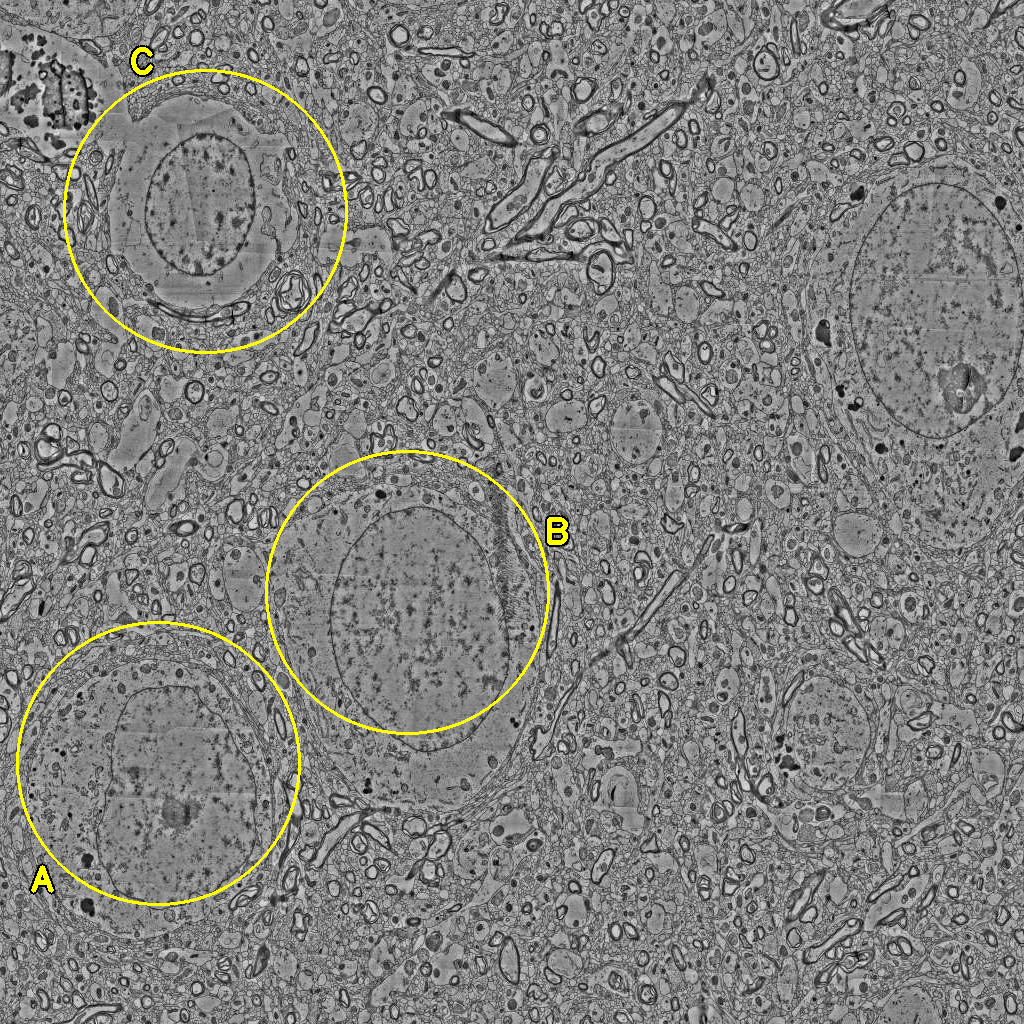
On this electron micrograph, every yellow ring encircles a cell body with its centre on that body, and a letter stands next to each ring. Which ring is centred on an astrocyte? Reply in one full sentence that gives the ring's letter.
Ring C is the ring that has the cell asked for in its centre.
